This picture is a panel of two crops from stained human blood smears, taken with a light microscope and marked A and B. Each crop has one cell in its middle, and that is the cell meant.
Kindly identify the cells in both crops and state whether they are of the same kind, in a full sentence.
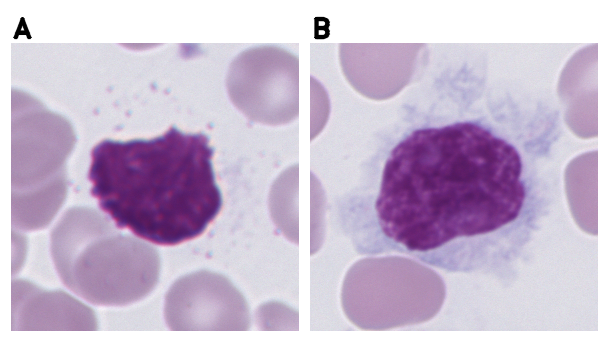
No, a hairy cell is depicted in crop B, whereas a smudge cell is depicted in crop A.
